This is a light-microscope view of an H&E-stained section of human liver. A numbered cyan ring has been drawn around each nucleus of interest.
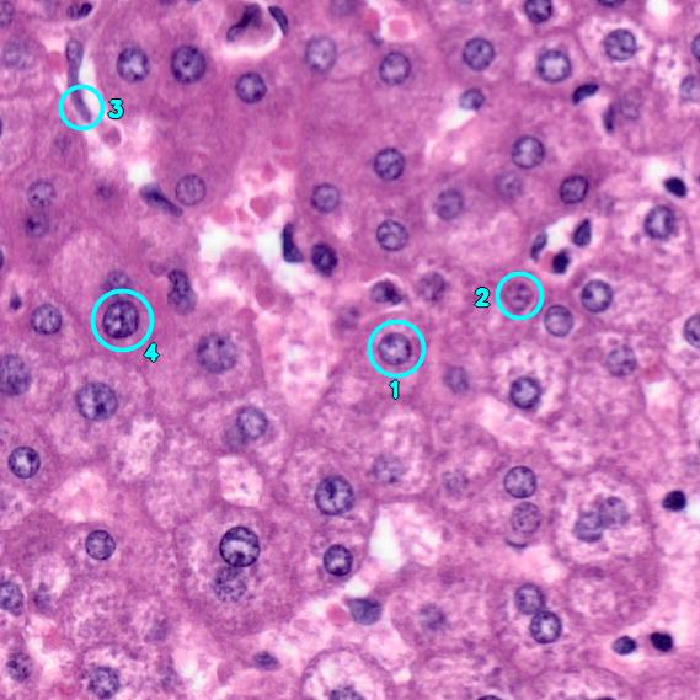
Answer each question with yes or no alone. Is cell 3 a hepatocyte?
no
